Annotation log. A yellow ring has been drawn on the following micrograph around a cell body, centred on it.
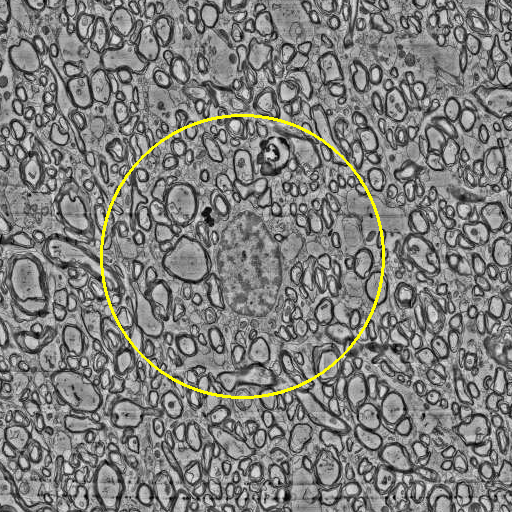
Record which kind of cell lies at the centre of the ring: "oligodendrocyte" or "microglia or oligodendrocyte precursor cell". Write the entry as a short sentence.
The cell the ring is centred on is an oligodendrocyte.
